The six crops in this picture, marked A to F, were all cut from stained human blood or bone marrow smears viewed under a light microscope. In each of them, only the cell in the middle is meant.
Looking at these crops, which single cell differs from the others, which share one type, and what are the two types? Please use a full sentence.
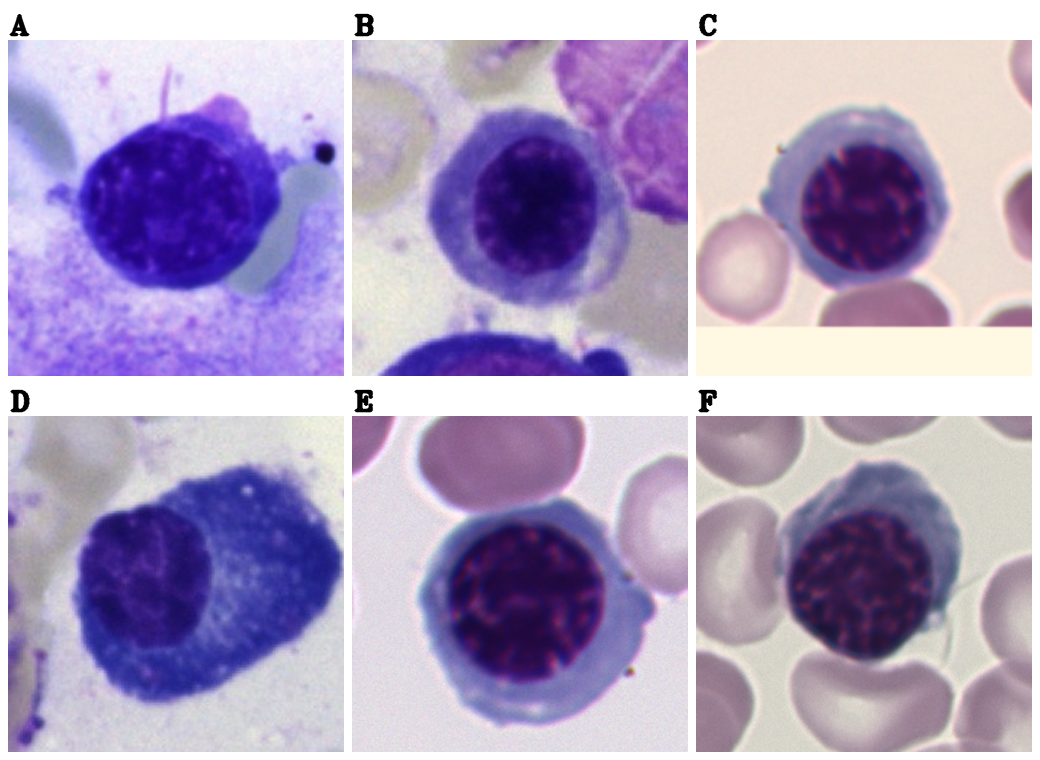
Crop D is singled out as a plasma cell, and all of the other crops show erythroblasts.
